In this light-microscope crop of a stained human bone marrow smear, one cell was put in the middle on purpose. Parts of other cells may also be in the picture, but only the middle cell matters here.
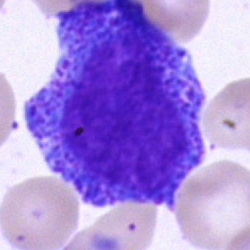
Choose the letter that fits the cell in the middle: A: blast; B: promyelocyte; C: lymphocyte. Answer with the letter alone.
B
